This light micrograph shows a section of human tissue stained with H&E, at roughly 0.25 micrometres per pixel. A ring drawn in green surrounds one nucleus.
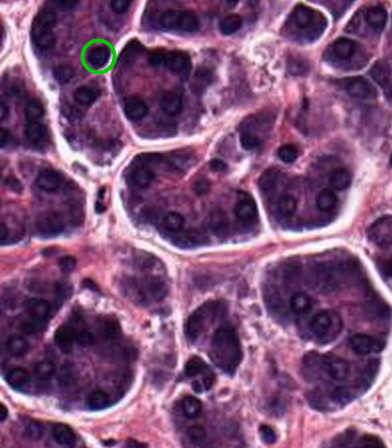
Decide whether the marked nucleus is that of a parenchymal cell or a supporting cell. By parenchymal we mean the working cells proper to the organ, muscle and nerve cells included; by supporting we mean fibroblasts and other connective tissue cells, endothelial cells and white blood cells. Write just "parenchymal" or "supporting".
parenchymal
